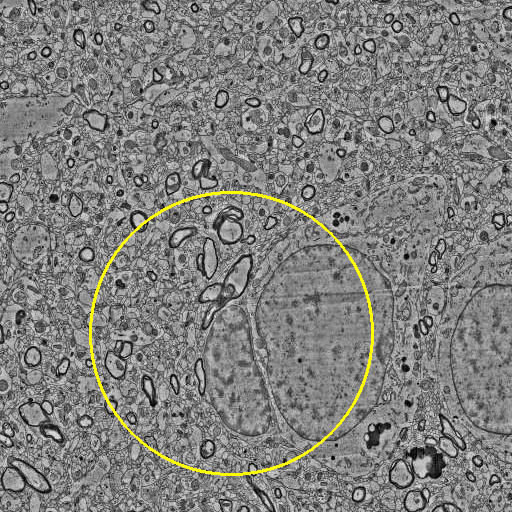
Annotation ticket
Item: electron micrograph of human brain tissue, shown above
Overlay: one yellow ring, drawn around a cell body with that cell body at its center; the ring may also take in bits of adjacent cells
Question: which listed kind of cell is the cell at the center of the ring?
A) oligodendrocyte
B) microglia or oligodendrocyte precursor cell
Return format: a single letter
A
